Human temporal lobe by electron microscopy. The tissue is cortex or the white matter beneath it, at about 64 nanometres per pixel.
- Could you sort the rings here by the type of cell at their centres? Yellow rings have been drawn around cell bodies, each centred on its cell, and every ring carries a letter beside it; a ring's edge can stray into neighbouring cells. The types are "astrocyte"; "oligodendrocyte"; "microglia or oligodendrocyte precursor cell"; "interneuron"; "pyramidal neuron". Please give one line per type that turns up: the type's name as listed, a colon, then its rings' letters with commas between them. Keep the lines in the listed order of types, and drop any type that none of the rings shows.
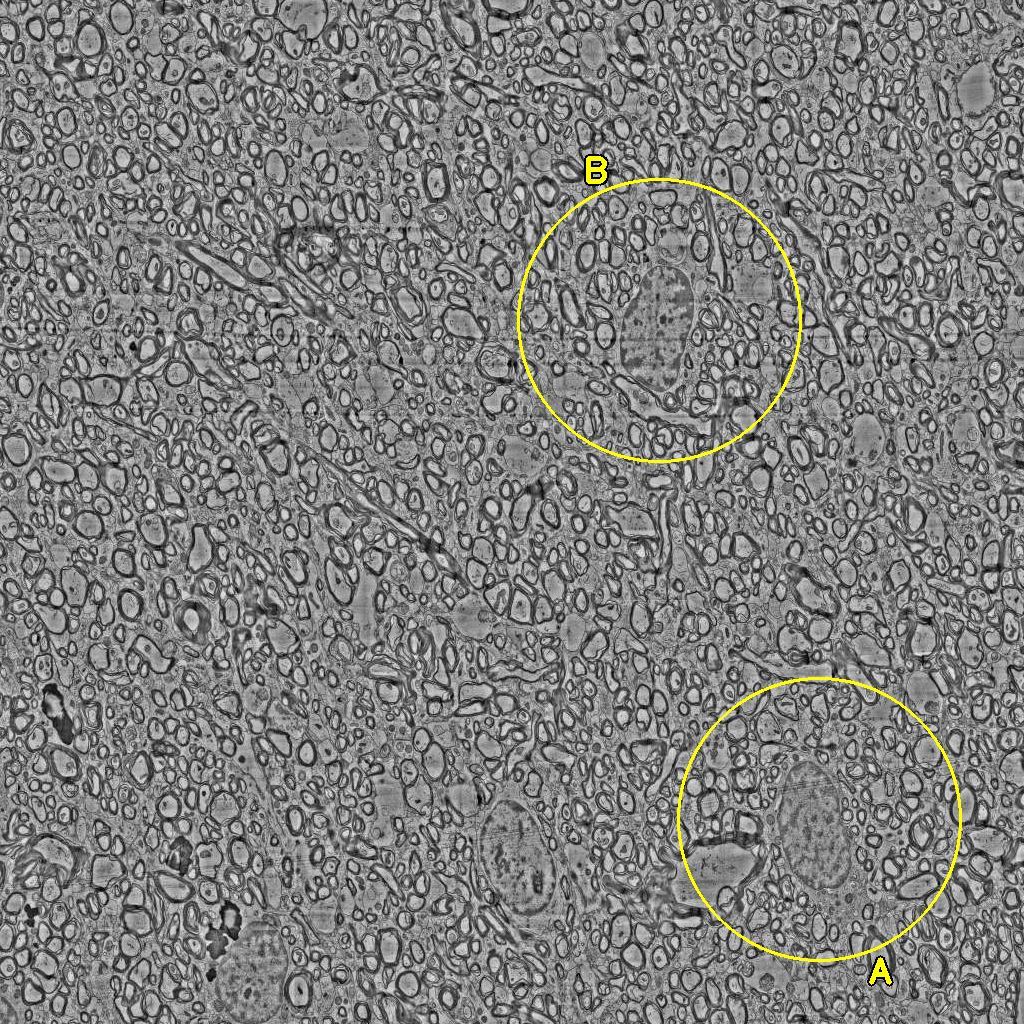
oligodendrocyte: A
microglia or oligodendrocyte precursor cell: B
